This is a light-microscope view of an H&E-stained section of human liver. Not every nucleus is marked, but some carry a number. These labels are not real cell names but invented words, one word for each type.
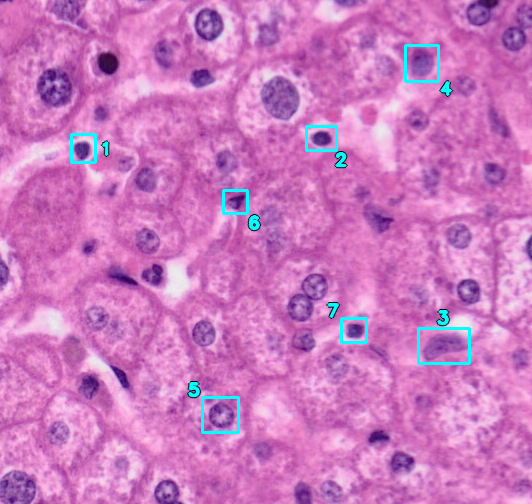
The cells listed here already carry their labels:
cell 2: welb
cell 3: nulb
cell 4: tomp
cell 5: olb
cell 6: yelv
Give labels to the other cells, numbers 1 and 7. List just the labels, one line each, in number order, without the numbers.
welb
welb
